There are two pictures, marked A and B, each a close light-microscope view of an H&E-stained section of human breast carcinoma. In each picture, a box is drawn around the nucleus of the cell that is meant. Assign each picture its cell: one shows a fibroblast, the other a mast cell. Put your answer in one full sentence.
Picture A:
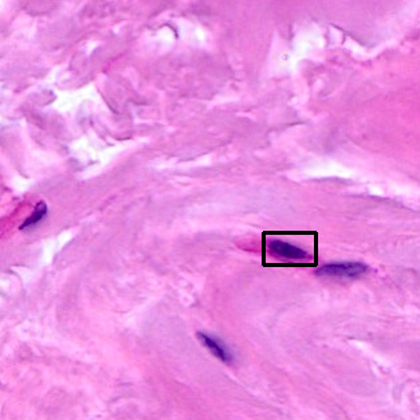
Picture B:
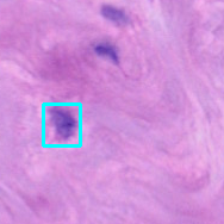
Picture A is of a mast cell, and picture B is of a fibroblast.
